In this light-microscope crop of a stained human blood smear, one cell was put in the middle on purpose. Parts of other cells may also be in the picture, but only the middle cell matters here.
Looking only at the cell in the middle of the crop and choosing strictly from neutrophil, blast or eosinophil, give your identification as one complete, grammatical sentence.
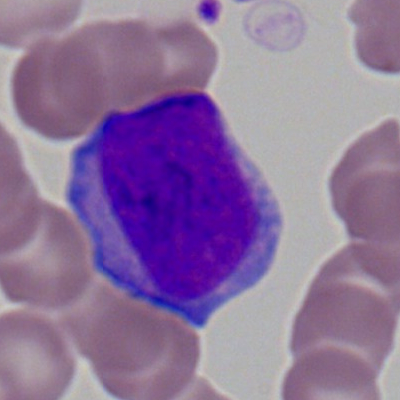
In the centre of this crop there is a blast.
